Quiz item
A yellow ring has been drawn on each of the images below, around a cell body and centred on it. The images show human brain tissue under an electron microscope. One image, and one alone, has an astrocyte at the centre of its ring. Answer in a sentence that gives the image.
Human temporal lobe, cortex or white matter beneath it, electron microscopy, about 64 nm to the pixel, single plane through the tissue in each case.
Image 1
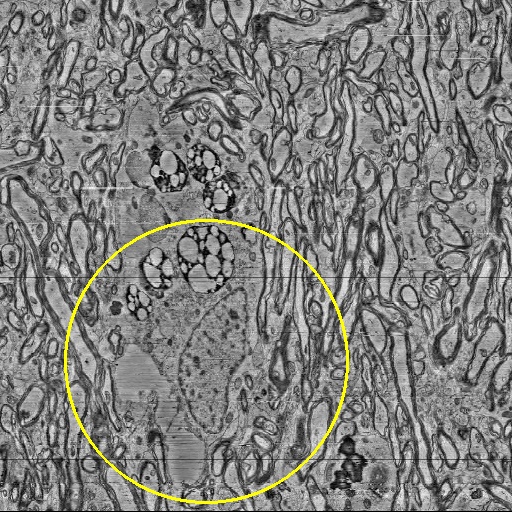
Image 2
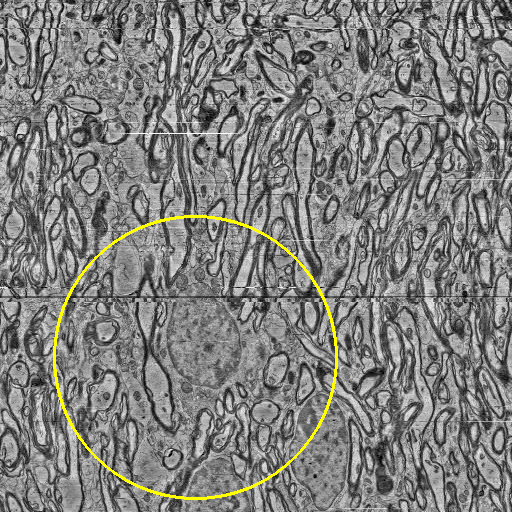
Image 1 shows it at the centre of the ring.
